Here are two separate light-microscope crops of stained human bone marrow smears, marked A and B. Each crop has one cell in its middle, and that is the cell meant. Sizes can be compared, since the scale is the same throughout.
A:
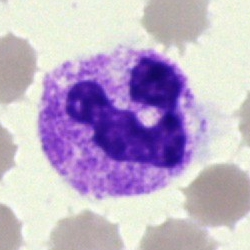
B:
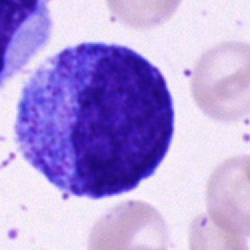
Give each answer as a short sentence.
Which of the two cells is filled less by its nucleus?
It is the cell in crop A that is filled less by its nucleus.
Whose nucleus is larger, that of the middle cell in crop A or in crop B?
Larger is the nucleus in crop B, at roughly 1.5 times the area of the other.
